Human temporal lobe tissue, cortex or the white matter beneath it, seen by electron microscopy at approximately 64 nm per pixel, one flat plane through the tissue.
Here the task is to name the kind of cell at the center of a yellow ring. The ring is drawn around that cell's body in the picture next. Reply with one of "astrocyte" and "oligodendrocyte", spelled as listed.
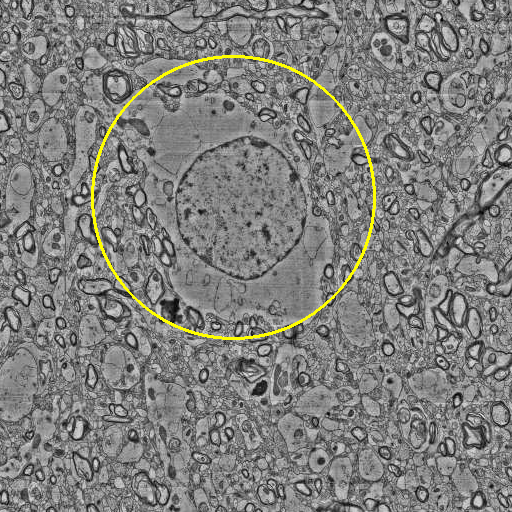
astrocyte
